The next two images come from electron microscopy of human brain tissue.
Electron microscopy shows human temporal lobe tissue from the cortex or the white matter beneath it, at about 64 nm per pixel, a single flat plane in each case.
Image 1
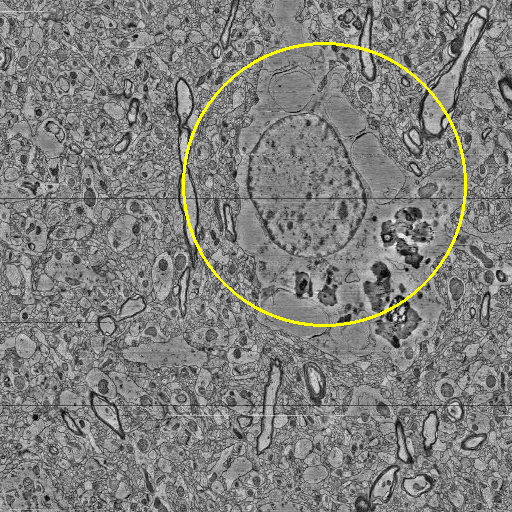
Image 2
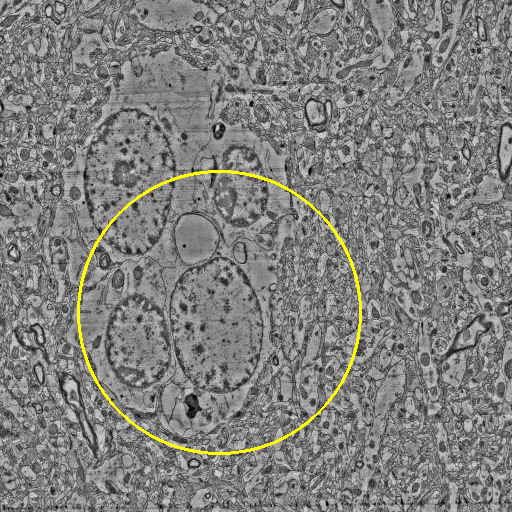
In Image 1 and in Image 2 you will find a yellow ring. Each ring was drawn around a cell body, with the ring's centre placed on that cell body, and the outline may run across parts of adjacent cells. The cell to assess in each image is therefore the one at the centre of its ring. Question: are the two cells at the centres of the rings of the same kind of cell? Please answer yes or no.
yes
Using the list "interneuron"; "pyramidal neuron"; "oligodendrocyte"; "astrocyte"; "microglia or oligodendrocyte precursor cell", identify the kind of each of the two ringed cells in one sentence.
The second cell is an astrocyte, just as the first is.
